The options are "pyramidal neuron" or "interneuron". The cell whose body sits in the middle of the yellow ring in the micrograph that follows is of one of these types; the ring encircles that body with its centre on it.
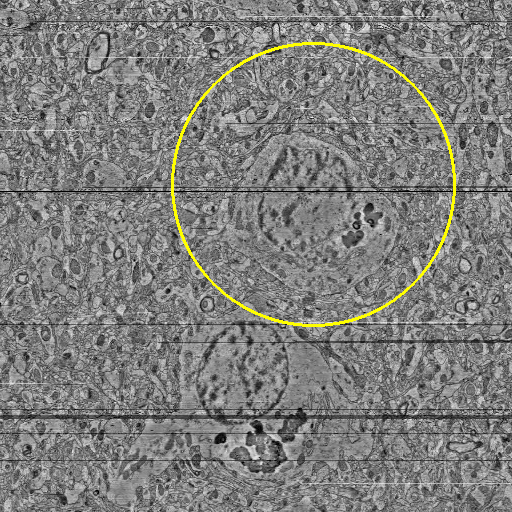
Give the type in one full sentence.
Going by the micrograph, the cell centred in the yellow ring is an interneuron.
